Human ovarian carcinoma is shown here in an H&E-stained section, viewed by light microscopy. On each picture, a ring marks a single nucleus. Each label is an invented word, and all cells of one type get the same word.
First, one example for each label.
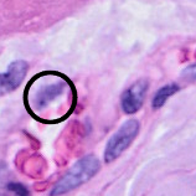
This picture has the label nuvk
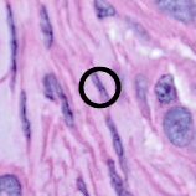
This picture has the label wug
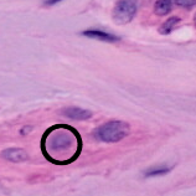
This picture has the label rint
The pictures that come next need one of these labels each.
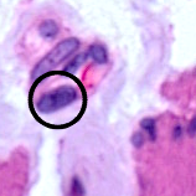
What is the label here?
nuvk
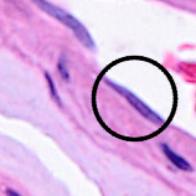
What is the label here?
nuvk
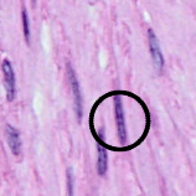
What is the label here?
wug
